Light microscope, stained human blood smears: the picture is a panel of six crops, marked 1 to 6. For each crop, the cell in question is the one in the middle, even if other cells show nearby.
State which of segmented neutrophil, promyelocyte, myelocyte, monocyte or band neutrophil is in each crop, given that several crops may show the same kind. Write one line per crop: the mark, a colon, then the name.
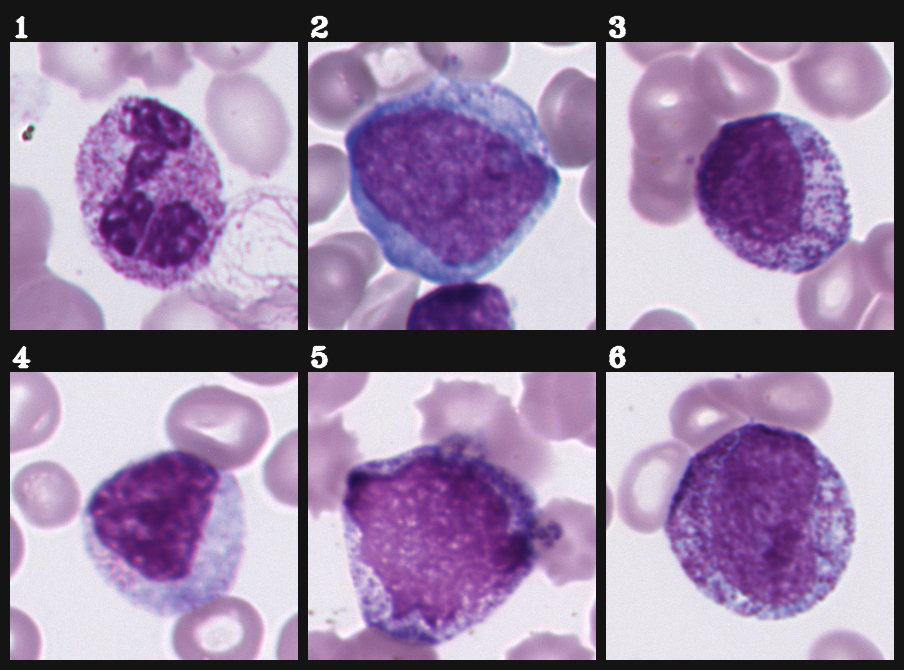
1: segmented neutrophil
2: promyelocyte
3: myelocyte
4: myelocyte
5: promyelocyte
6: myelocyte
